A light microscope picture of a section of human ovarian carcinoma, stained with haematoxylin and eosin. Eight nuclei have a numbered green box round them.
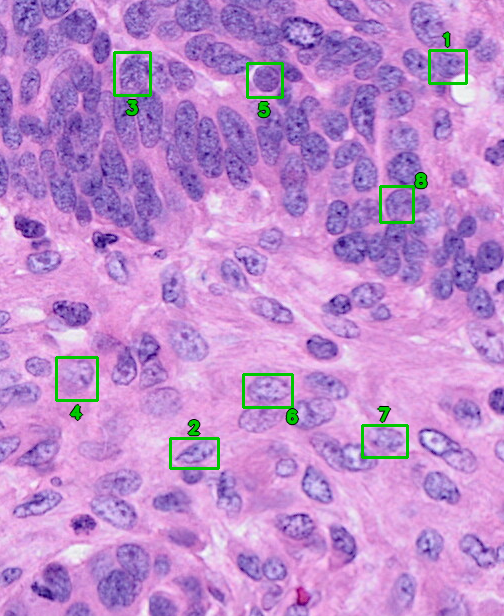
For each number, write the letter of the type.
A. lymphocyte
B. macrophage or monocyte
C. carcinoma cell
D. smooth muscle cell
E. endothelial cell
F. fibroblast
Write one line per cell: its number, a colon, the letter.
1: C
2: F
3: C
4: F
5: C
6: F
7: F
8: C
